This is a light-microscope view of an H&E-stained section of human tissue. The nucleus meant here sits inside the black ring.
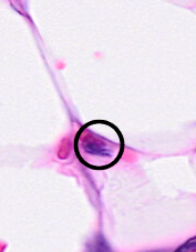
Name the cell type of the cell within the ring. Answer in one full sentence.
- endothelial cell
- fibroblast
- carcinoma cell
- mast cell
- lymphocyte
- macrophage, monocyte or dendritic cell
In terms of identity, the cell within the ring is an endothelial cell.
